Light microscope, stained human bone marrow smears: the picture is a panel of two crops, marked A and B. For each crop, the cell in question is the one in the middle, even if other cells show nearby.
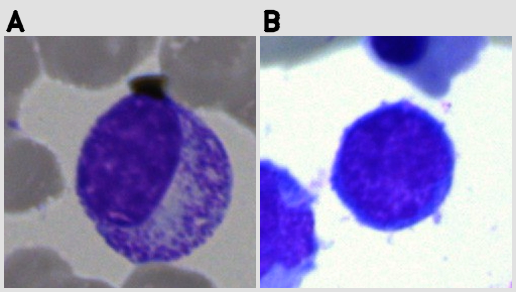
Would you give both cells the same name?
no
